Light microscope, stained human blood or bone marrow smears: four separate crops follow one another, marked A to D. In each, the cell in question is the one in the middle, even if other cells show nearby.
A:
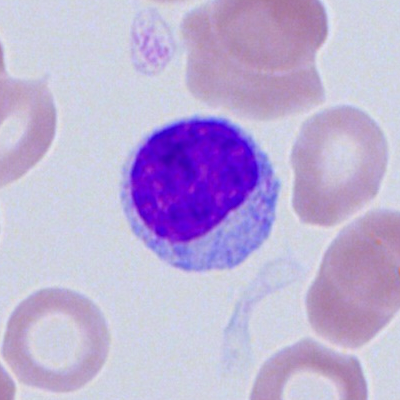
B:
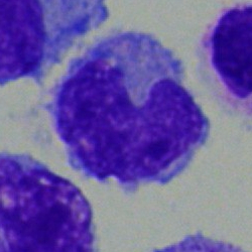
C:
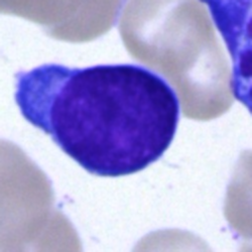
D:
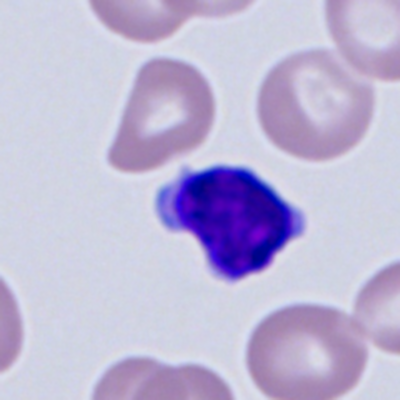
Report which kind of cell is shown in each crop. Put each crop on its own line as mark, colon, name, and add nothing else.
A: lymphocyte
B: monocyte
C: blast
D: lymphocyte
